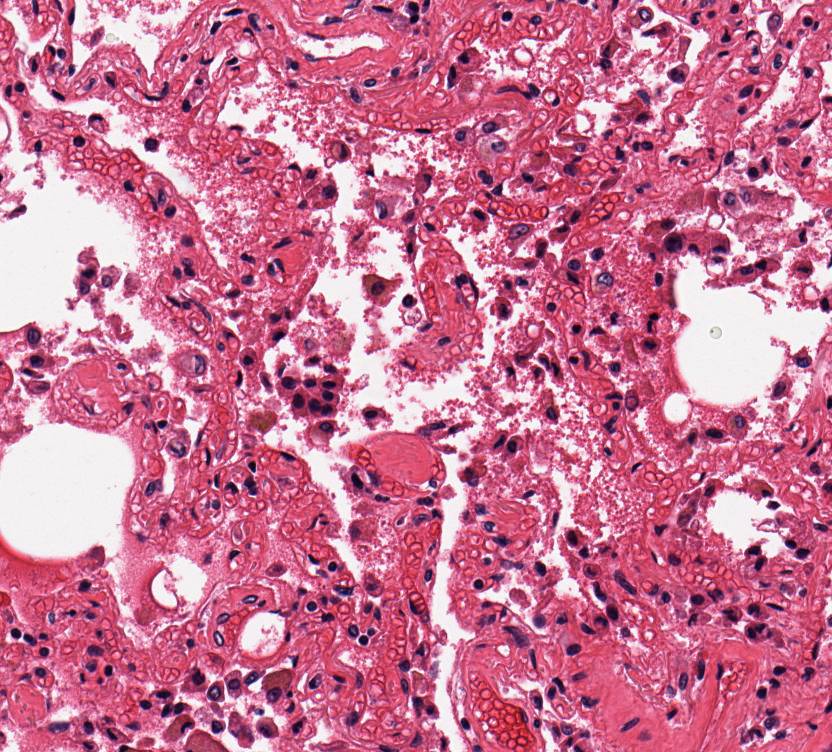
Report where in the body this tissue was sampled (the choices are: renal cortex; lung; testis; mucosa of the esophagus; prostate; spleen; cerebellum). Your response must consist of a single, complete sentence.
The sample of tissue came from the lung.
